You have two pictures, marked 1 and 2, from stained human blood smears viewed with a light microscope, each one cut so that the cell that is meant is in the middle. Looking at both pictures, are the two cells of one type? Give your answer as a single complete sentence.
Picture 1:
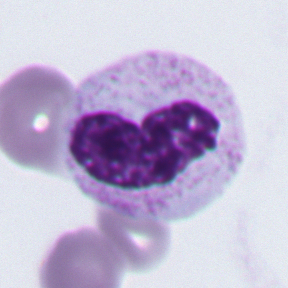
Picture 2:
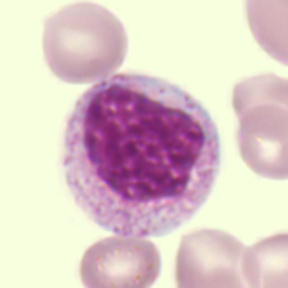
No, the types are not the same, since picture 1 shows a band neutrophil and picture 2 a metamyelocyte.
